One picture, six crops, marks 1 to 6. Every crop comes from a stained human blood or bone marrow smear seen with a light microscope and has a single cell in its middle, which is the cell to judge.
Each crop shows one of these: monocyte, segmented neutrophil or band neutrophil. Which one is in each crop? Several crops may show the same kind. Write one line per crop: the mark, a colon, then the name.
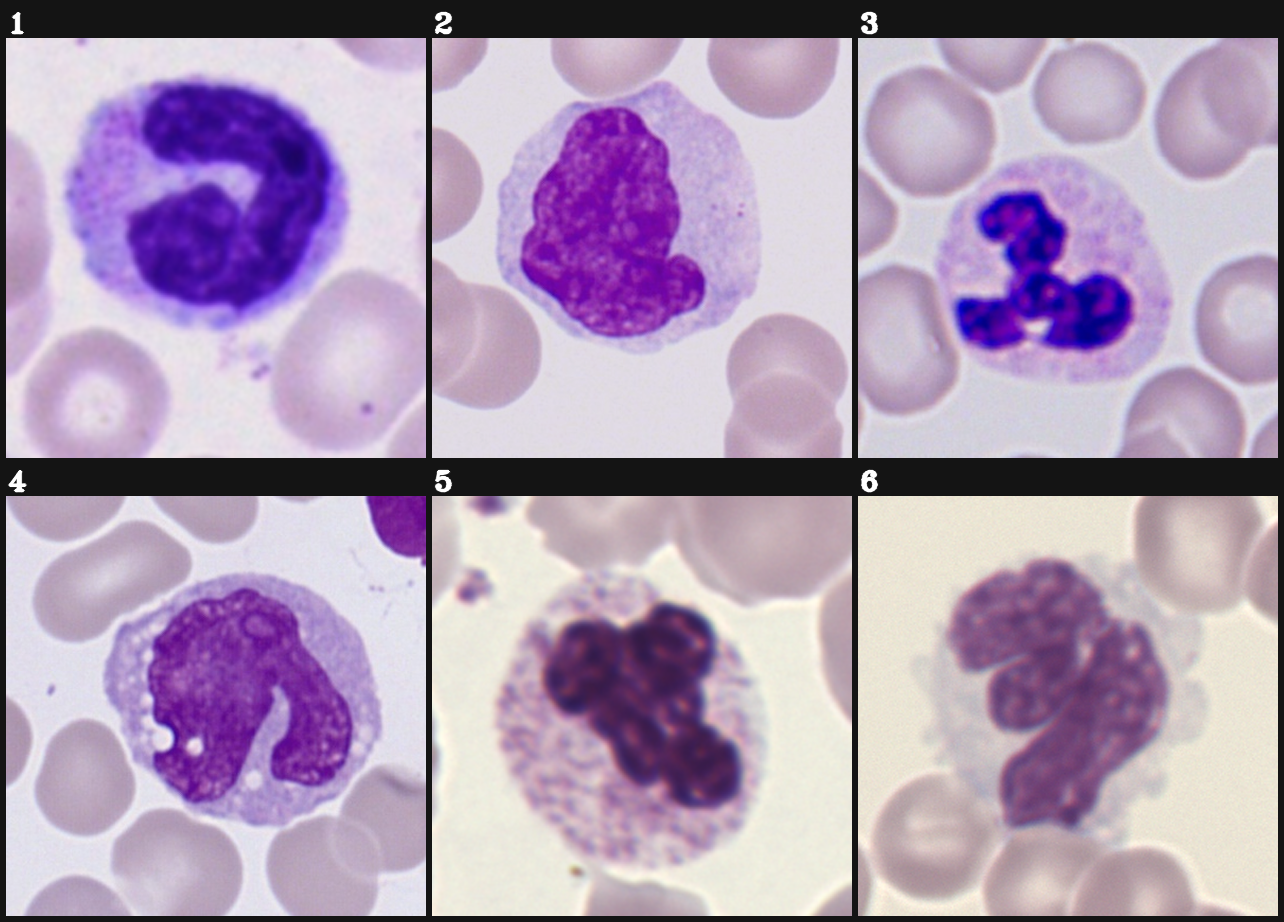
1: band neutrophil
2: monocyte
3: segmented neutrophil
4: monocyte
5: segmented neutrophil
6: monocyte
